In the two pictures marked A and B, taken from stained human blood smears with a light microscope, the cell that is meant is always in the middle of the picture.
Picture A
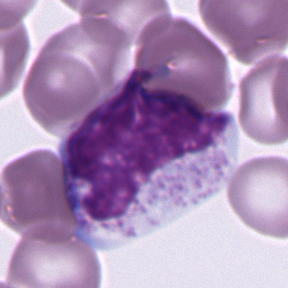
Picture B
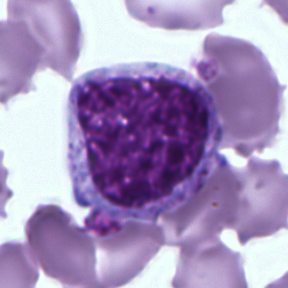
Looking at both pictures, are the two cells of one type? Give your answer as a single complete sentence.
Yes, the two pictures both show myelocytes.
